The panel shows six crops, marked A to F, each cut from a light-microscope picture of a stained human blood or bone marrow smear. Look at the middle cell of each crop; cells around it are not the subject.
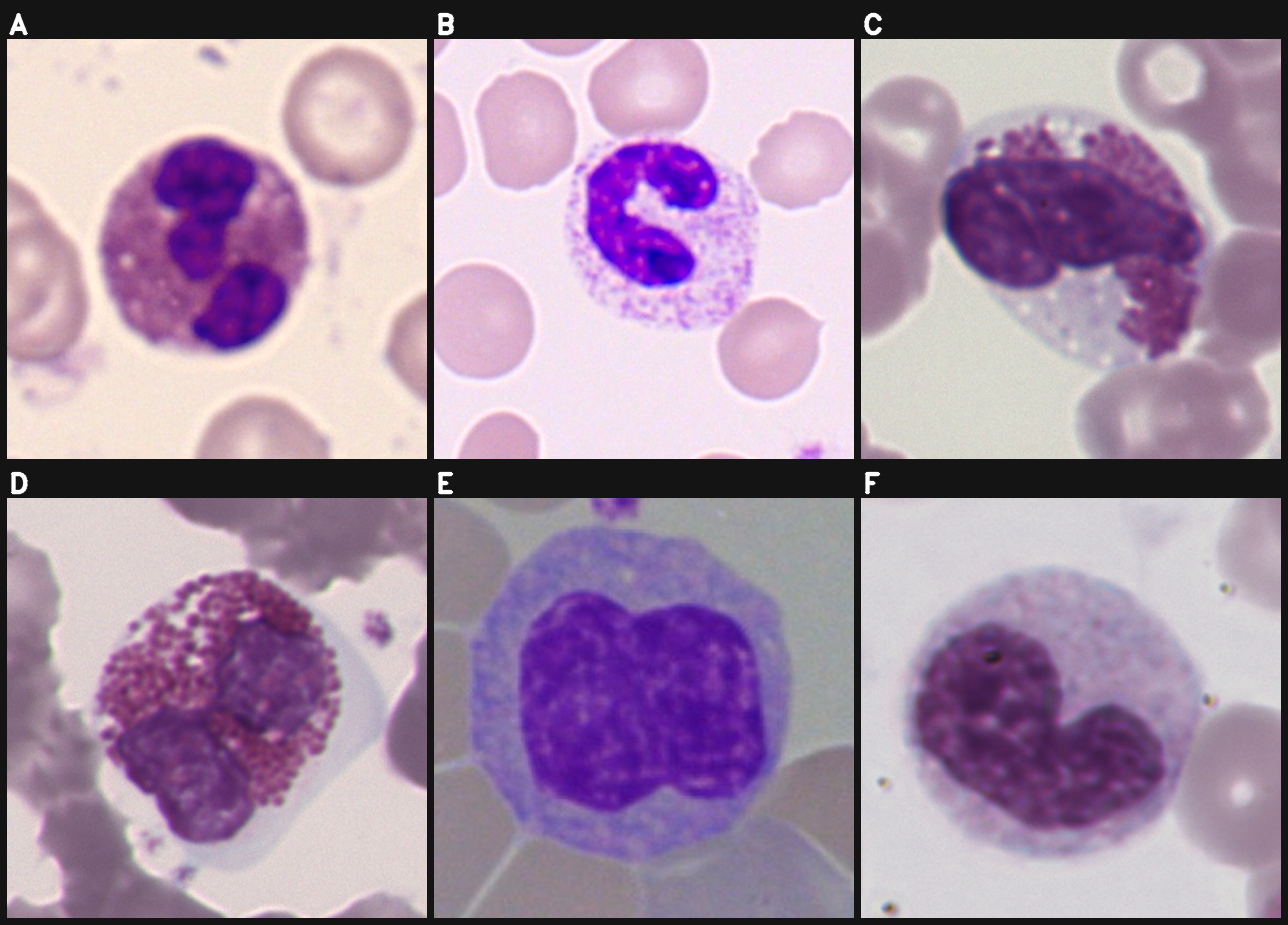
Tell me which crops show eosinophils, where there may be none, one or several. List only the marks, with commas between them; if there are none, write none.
A, C, D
